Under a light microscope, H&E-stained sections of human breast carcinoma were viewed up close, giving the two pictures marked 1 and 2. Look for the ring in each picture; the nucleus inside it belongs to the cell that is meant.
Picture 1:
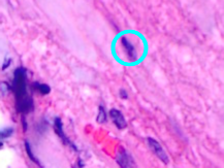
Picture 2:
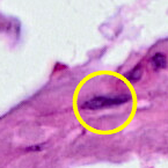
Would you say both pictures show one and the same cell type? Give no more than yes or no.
yes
